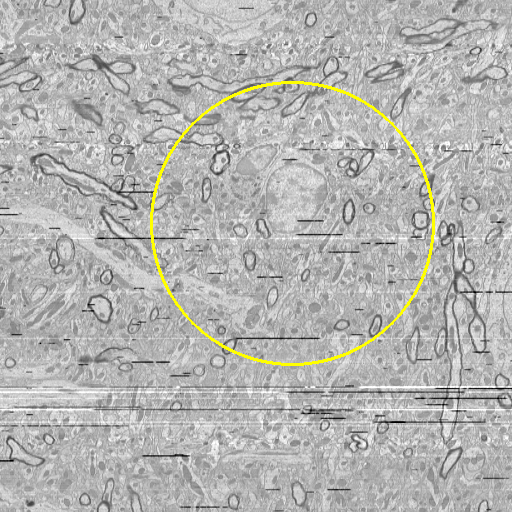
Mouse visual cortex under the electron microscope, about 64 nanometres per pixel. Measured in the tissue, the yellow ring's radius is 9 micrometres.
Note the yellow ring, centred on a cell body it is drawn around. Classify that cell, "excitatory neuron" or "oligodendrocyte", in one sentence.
The cell the ring is centred on is an oligodendrocyte.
